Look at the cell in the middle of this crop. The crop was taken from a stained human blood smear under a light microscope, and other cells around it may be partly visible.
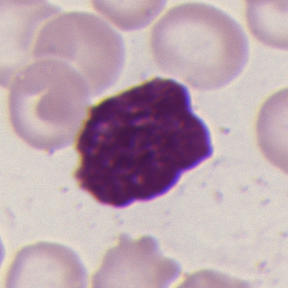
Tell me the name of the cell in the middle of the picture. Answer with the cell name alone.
smudge cell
